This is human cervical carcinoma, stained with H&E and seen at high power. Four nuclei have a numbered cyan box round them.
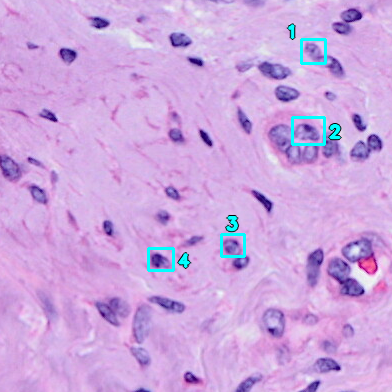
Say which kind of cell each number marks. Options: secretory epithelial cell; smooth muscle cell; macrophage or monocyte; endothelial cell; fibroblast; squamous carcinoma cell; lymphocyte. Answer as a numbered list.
1. fibroblast
2. endothelial cell
3. smooth muscle cell
4. smooth muscle cell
